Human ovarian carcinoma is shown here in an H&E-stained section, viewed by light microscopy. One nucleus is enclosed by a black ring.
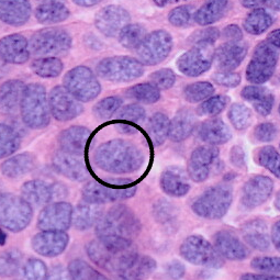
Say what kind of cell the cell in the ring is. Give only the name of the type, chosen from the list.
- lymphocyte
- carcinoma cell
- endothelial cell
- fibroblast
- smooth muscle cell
carcinoma cell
